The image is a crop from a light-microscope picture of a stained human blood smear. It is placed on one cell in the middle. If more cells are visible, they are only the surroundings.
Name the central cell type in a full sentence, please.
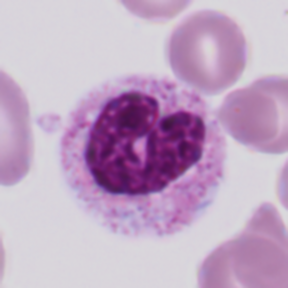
The crop shows a band neutrophil in its centre.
